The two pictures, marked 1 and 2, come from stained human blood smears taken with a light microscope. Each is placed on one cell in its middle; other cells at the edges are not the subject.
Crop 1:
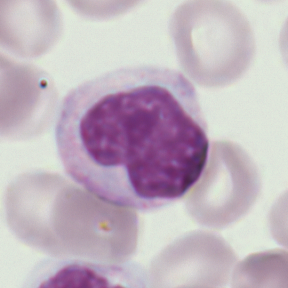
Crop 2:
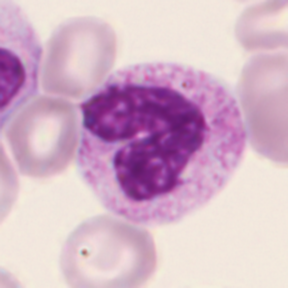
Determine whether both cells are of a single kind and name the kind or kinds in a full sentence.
No, crop 1 holds a metamyelocyte, and a band neutrophil occupies crop 2.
